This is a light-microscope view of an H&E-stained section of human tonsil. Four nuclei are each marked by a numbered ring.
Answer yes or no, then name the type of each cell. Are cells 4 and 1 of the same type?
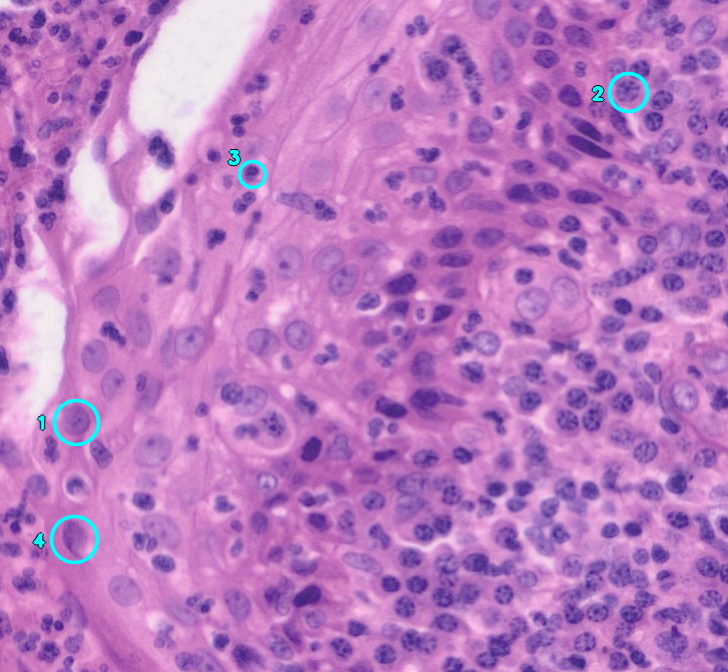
Yes, the two numbered cells, 4 and 1, are both squamous epithelial cells.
